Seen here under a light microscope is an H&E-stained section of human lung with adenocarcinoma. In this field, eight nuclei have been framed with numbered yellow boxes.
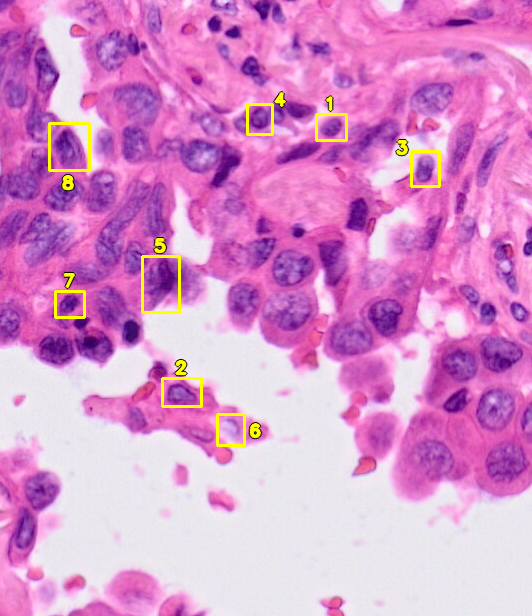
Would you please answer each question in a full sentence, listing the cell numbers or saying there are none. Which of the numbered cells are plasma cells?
In this set of numbered cells, only cell 4 is a plasma cell.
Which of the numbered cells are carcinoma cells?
The cells picked out by numbers 5 and 8 are carcinoma cells.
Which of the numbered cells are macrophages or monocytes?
By cell type, the cells numbered 2 and 6 are macrophages or monocytes.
